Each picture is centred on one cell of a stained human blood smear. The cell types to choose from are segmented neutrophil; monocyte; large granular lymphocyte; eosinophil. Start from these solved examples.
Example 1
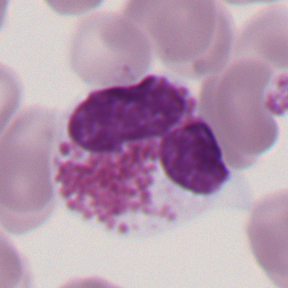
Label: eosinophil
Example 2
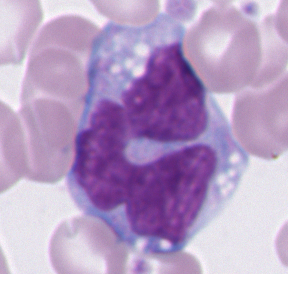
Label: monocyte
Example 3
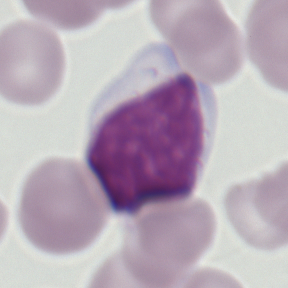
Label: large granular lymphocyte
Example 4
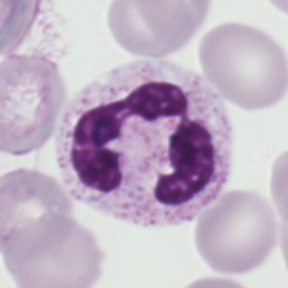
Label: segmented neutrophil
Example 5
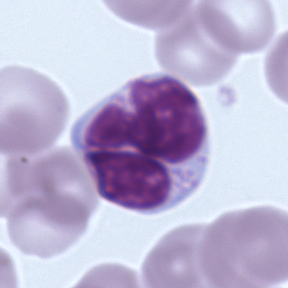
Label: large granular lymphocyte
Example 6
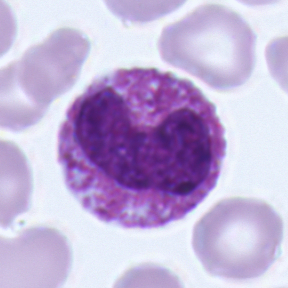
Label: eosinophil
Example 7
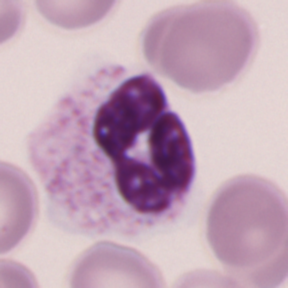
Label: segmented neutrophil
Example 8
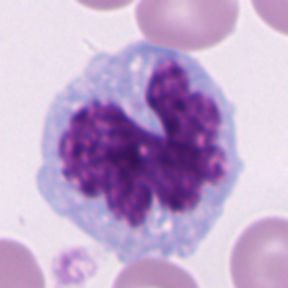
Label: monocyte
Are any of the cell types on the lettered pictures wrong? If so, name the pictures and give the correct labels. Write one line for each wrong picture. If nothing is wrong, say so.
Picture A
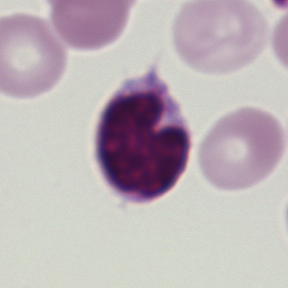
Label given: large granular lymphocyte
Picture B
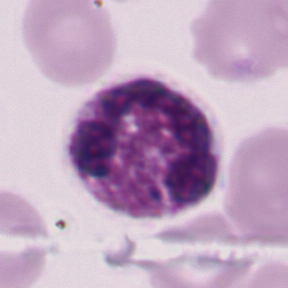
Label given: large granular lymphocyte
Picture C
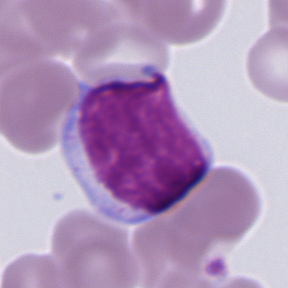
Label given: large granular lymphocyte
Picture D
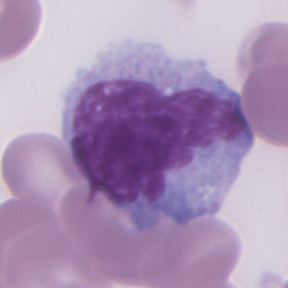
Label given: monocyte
B: not large granular lymphocyte but eosinophil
